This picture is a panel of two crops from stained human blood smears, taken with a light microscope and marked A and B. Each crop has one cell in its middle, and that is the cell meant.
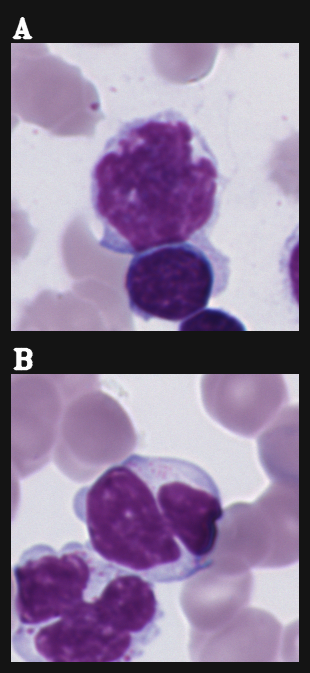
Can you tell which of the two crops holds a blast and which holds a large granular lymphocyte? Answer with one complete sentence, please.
It is a blast that crop A shows, and a large granular lymphocyte that crop B shows.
